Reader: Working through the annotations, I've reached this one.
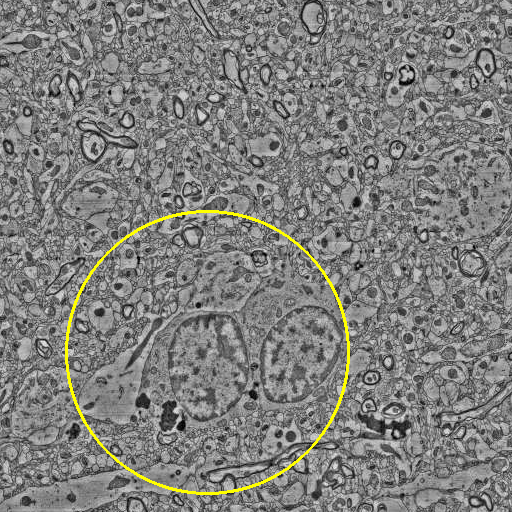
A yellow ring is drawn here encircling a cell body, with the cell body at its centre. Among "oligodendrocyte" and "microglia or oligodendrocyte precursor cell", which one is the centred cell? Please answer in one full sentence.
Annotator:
The cell body at the centre of the yellow ring in this image belongs to an oligodendrocyte.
